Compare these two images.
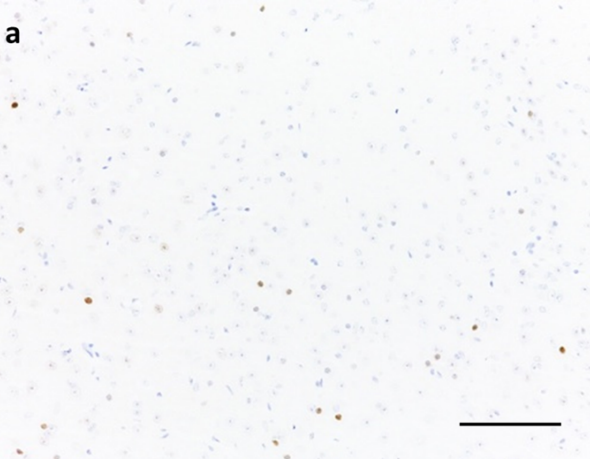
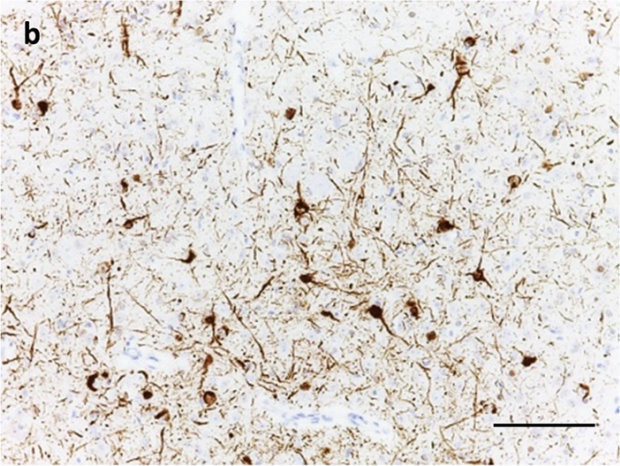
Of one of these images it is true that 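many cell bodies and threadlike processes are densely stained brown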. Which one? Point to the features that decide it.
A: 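Second image: numerous dark brown cell bodies and a dense meshwork of brown threads fill the field. First image: only sparse small round brown dots among blue nuclei, no stained threads or cell bodies.
The second image.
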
